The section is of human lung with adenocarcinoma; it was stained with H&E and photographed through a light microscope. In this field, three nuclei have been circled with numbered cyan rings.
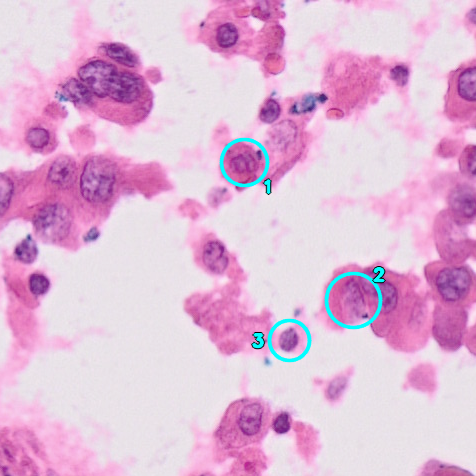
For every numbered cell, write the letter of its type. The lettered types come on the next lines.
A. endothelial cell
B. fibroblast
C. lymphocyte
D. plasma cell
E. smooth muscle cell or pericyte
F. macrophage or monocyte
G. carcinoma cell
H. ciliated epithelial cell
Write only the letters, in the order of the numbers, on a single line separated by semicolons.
F; G; C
